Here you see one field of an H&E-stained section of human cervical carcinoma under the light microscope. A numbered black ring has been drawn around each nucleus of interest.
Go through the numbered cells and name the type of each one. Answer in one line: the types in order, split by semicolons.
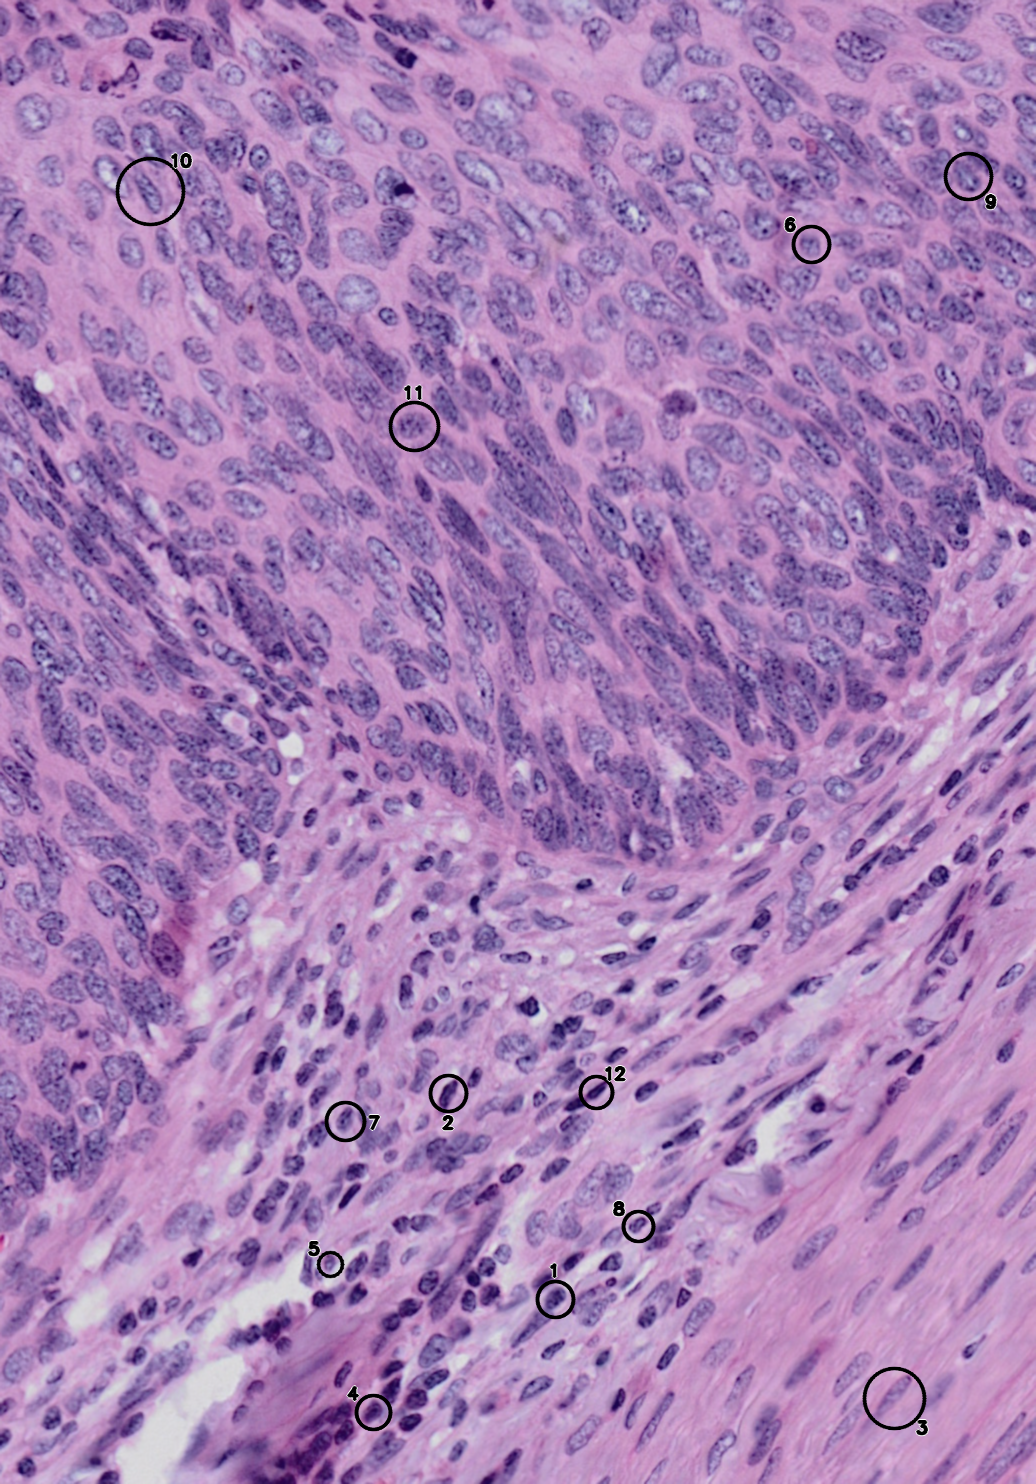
lymphocyte; lymphocyte; smooth muscle cell; lymphocyte; lymphocyte; squamous carcinoma cell; lymphocyte; lymphocyte; squamous carcinoma cell; squamous carcinoma cell; squamous carcinoma cell; lymphocyte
